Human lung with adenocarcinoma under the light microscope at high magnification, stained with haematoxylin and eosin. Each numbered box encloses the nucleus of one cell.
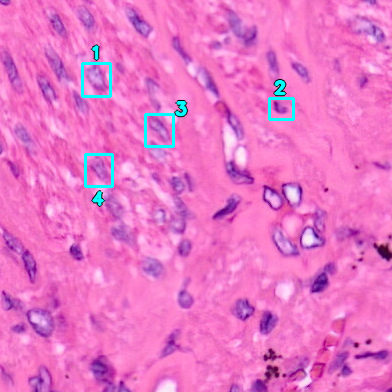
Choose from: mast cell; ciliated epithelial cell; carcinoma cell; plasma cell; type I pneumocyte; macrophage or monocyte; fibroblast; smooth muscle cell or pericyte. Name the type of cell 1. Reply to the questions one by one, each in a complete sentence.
The marked cell with the number 1 is recognised as a smooth muscle cell or pericyte.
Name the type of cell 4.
Nucleus 4 in this section belongs to a smooth muscle cell or pericyte.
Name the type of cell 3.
The cell numbered 3 represents a smooth muscle cell or pericyte.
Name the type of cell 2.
The numbered cell 2 in this field is a mast cell.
